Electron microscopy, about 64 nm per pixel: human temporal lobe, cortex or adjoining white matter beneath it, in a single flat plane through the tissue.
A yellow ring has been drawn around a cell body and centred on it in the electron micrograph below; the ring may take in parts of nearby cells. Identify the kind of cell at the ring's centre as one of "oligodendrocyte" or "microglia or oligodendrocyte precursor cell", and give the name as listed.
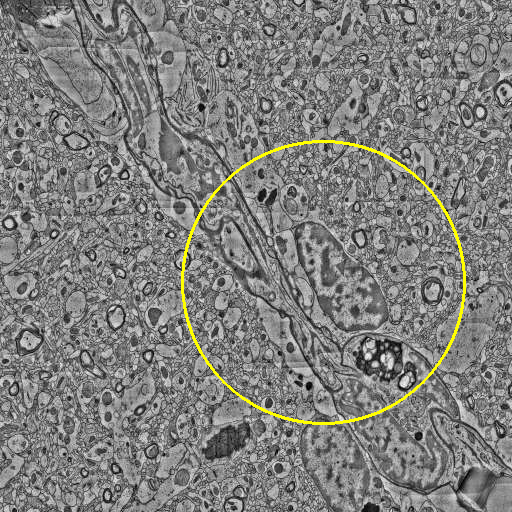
microglia or oligodendrocyte precursor cell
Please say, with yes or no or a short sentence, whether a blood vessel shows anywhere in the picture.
Yes.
